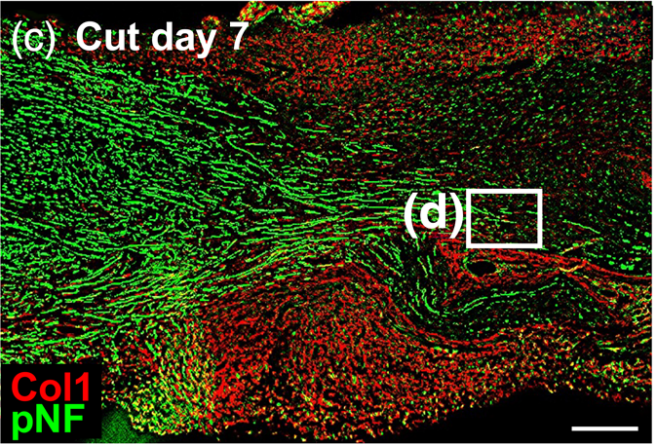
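At left the nerve still contains dense green fibres, but toward the middle and right the orderly bundles break up: the green fibres fan out, curve and cross in different directions into disorganised tissue. Some regions show red and green mixed together, giving a yellowish cast.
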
